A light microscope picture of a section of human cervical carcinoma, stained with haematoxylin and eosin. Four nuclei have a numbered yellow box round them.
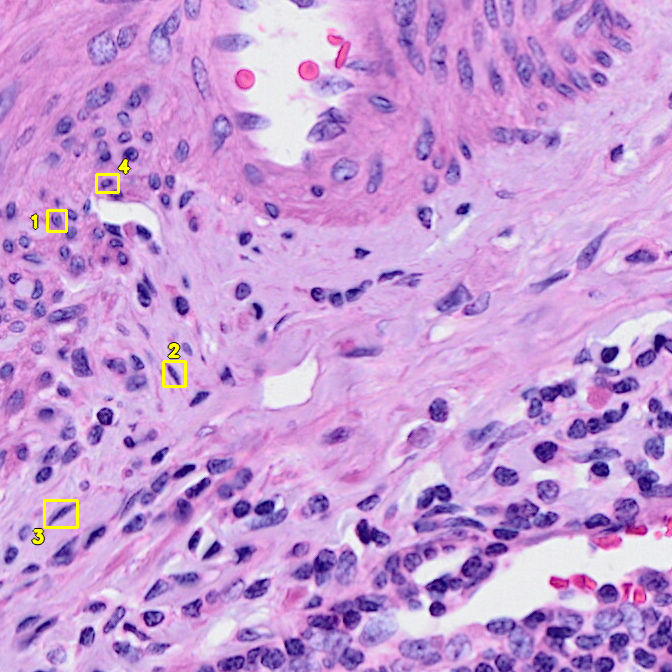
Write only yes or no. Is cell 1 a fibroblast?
no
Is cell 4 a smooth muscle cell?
yes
